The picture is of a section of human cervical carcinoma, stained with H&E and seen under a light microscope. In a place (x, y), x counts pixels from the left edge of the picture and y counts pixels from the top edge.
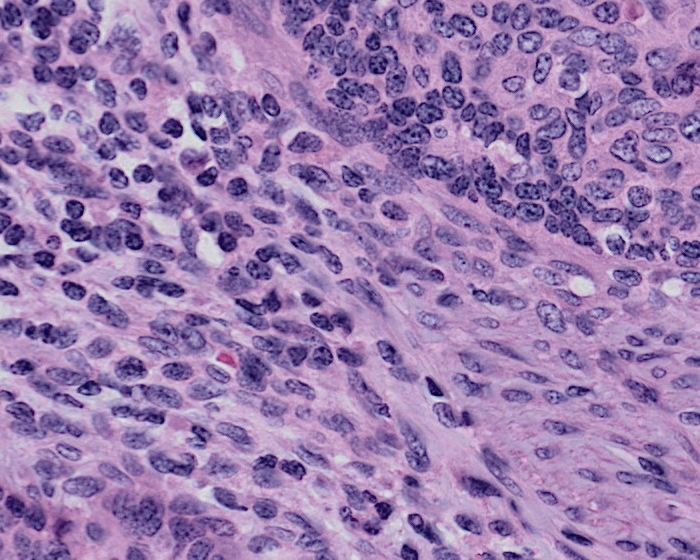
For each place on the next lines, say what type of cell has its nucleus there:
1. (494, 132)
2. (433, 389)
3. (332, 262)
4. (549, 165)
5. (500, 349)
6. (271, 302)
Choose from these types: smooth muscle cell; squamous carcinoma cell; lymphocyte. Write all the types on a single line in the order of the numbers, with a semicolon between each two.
squamous carcinoma cell; lymphocyte; lymphocyte; squamous carcinoma cell; smooth muscle cell; lymphocyte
